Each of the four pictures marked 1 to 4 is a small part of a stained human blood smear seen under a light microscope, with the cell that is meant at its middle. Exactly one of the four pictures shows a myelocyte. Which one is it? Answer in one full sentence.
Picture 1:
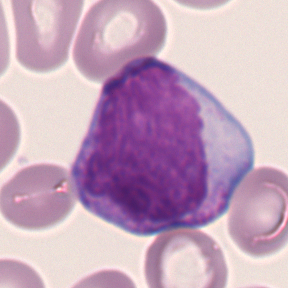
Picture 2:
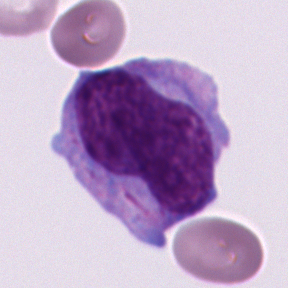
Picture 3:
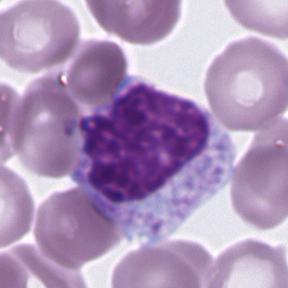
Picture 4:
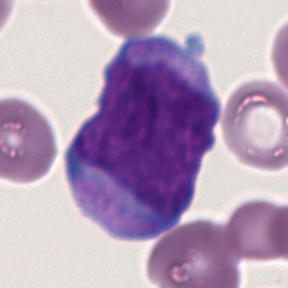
The cell in picture 3 is the myelocyte.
